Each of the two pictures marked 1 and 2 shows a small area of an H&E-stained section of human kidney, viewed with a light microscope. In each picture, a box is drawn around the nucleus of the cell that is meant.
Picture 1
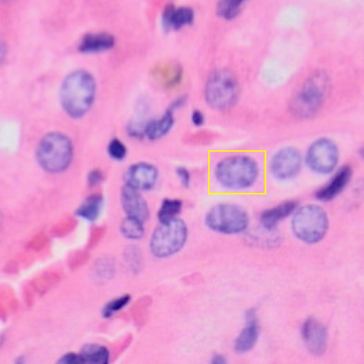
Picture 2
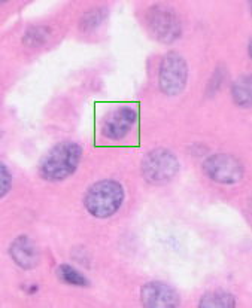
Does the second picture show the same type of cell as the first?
no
